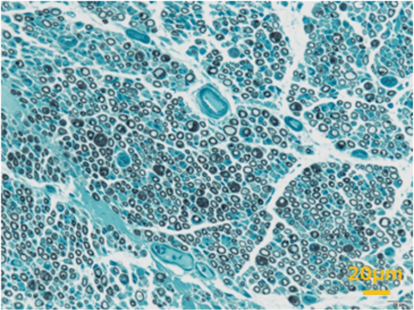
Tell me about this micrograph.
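This is a cross section of peripheral nerve showing many myelinated nerve fibers, each seen as a dark blue ring of myelin sheath around a pale axon. The fibers are closely packed in groups divided by pale, lightly stained connective tissue strands, in which a few small blood vessels lie.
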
